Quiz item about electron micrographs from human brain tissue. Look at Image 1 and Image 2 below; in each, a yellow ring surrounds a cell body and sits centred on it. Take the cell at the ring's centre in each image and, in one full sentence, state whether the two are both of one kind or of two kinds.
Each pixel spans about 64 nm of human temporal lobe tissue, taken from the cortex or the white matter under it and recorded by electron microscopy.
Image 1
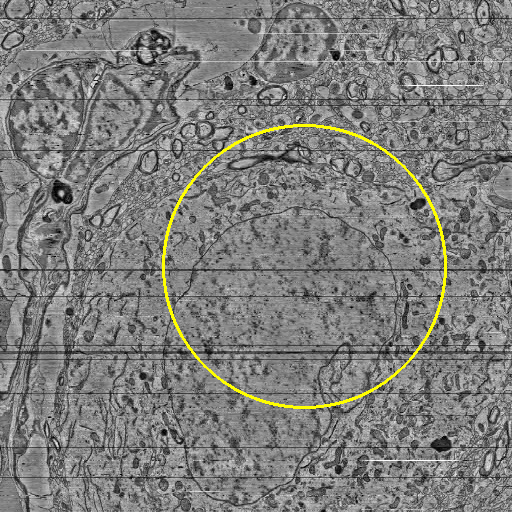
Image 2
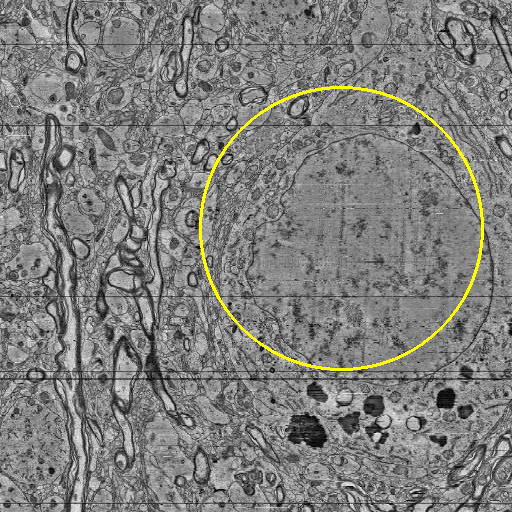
In Image 1 and Image 2, the cells at the ring centres are both of one kind.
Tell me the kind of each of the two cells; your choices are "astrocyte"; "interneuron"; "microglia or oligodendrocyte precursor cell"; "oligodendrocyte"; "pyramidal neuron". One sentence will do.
Both cells are the same kind, each one being a pyramidal neuron.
